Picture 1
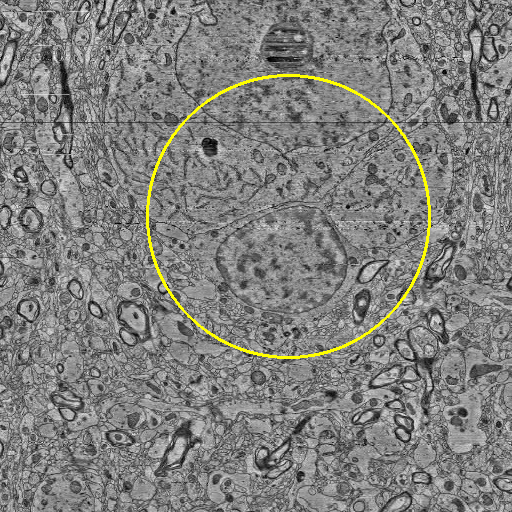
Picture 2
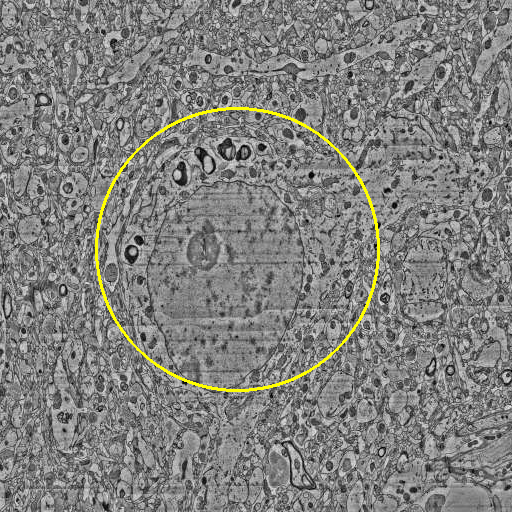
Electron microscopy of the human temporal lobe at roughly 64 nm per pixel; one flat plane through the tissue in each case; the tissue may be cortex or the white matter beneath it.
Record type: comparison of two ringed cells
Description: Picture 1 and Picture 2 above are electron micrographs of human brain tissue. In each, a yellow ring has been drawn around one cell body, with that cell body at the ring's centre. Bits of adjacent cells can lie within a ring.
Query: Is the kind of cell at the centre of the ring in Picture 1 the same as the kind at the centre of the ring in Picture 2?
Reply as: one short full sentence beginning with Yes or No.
No, the two ringed cells are of two separate kinds.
